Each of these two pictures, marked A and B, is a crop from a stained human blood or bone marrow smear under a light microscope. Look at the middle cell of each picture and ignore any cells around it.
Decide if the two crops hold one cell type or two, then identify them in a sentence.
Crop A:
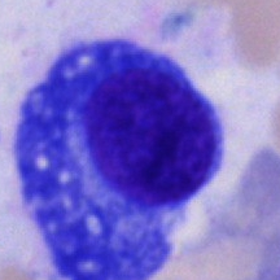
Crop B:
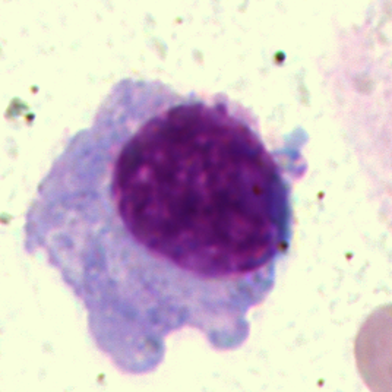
Yes, what both crops show at their centres are plasma cells.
